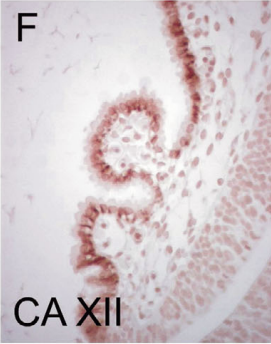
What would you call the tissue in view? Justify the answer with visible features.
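A folded frond lined by a single layer of columnar to cuboidal epithelial cells. The epithelial layer is stained dark red-brown. A loose stromal core lies within the fold.
Answer: chroid plexus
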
